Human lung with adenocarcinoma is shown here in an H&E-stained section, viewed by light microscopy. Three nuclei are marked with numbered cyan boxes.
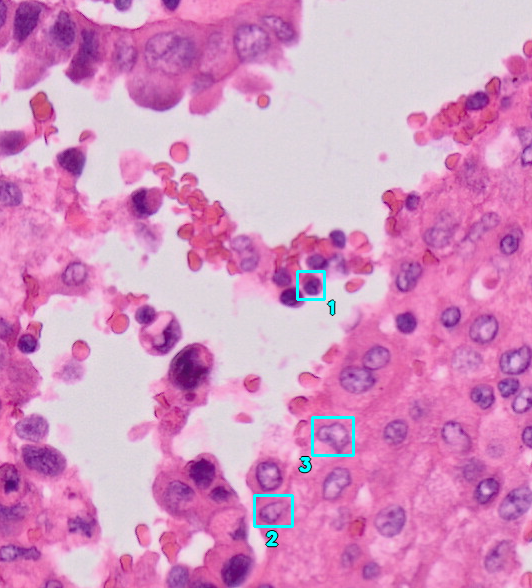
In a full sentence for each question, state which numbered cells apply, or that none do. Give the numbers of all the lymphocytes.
Only cell 1 is a lymphocyte; none of the other numbered cells is.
